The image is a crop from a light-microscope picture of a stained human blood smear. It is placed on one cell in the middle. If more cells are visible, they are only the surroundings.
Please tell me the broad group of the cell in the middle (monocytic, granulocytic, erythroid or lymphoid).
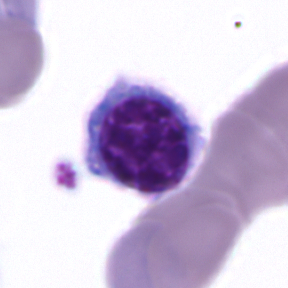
lymphoid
